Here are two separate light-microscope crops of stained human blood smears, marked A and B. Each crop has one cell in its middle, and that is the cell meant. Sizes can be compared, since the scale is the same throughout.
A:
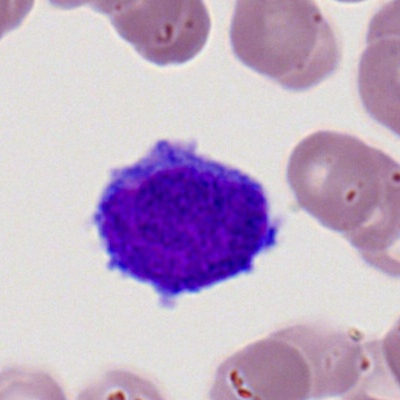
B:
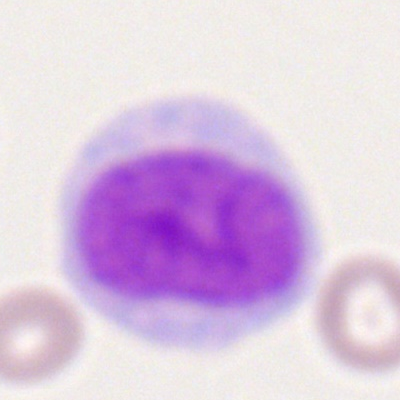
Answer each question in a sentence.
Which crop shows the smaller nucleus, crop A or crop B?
It is the nucleus in crop A; the one in crop B has about 2 times its area.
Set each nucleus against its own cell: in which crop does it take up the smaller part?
In crop B the nucleus takes up the smaller part of its cell.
